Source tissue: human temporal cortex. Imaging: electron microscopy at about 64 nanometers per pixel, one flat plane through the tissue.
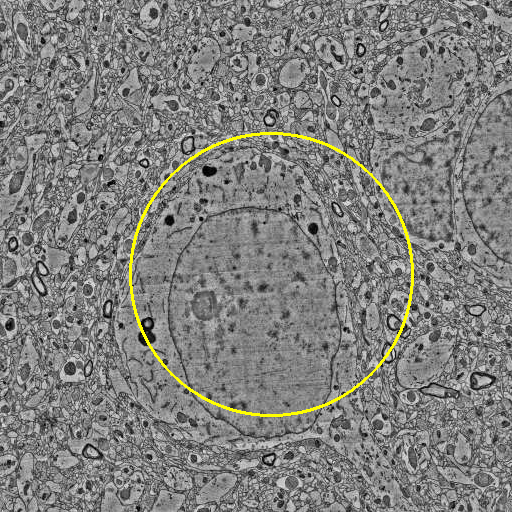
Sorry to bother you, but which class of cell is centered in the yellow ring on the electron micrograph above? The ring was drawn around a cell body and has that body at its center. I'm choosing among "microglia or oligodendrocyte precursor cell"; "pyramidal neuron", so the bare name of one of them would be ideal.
pyramidal neuron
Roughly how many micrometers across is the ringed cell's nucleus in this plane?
In this plane, roughly 15 by 11 micrometres.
